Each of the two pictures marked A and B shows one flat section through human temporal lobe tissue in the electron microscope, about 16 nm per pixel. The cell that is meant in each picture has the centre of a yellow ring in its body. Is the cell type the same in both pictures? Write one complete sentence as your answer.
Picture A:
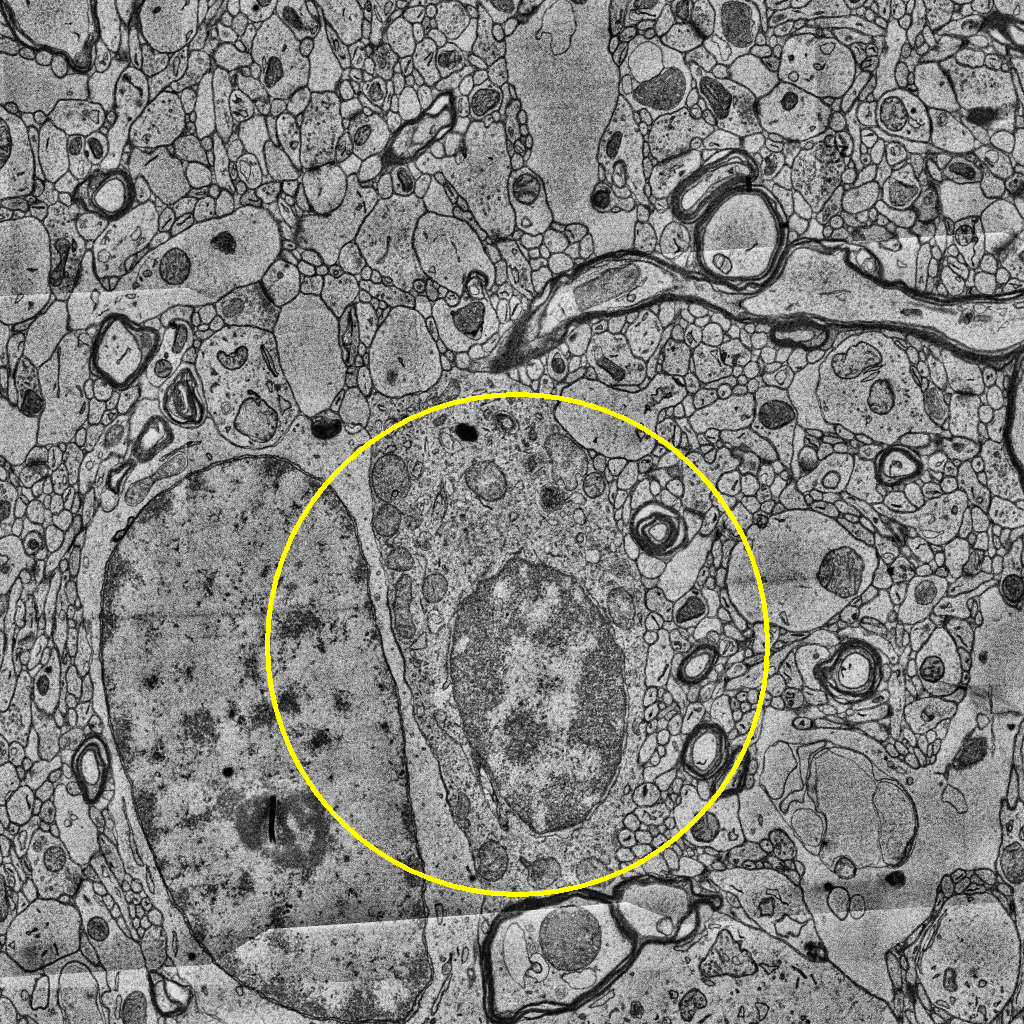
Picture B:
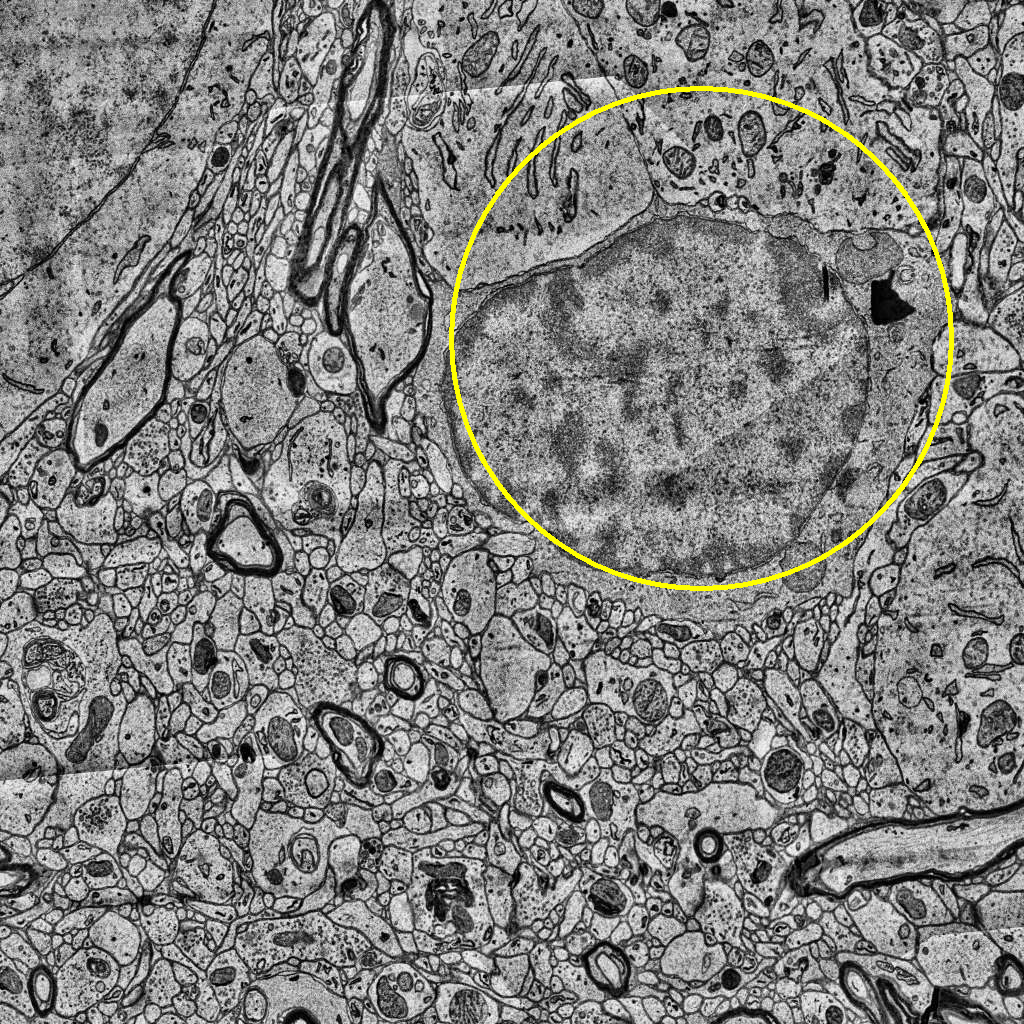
Yes, they are the same type: both are oligodendrocytes.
